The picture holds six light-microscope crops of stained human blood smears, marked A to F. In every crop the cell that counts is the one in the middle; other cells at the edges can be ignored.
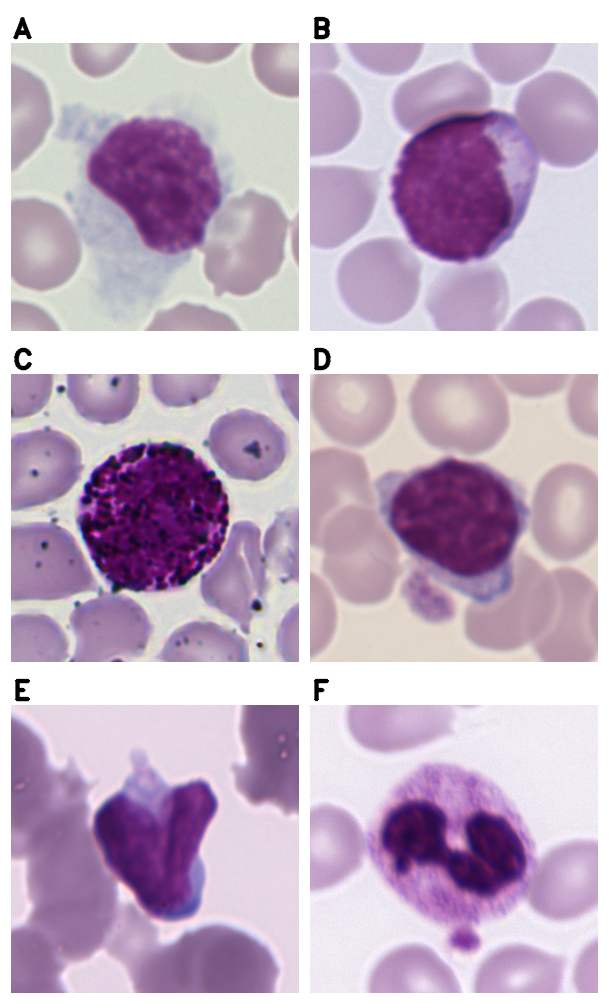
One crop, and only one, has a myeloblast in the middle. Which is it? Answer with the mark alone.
E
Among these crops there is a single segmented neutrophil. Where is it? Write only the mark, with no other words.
F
